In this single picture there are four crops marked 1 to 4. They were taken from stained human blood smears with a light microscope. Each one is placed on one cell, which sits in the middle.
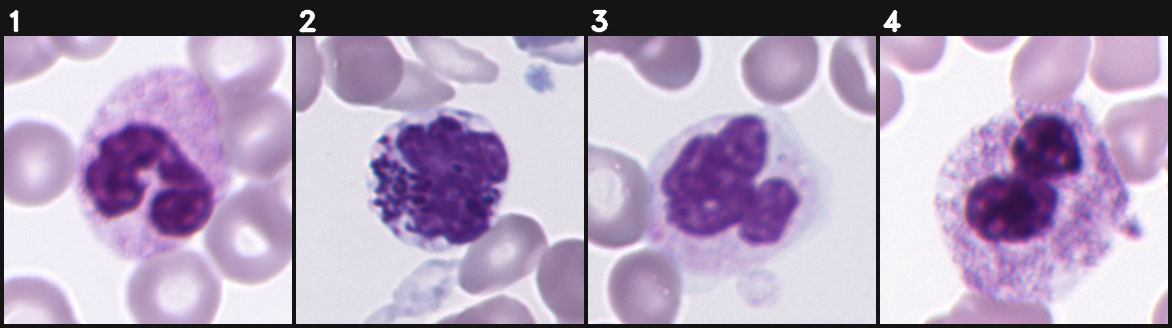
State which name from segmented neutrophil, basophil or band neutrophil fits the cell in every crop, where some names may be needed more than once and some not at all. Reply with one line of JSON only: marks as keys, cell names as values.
{"1": "segmented neutrophil", "2": "basophil", "3": "segmented neutrophil", "4": "segmented neutrophil"}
